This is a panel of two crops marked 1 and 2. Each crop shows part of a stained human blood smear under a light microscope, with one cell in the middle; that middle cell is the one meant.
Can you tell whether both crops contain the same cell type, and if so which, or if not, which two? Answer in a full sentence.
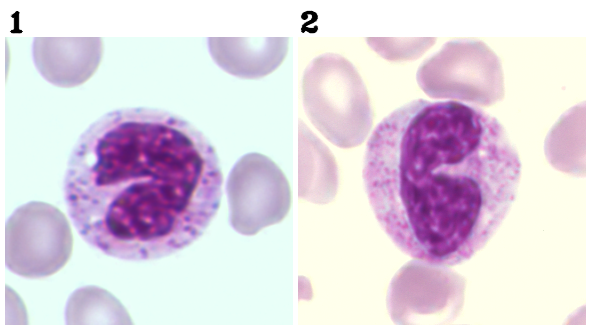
Yes, what both crops show at their centres are band neutrophils.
